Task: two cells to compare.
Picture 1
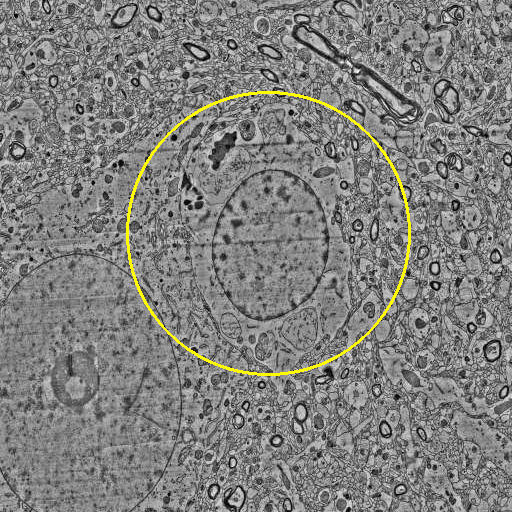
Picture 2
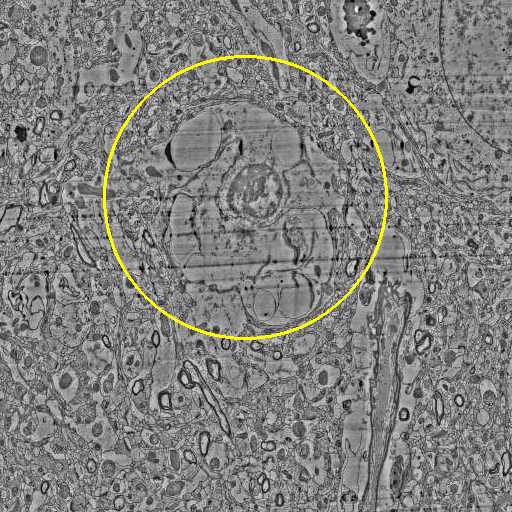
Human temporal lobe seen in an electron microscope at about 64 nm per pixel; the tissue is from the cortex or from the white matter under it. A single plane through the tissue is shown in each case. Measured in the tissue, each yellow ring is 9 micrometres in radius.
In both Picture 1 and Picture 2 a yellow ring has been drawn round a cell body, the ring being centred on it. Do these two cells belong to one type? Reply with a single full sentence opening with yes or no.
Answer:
Yes, the two cells at the ring centres in Picture 1 and Picture 2 share one type.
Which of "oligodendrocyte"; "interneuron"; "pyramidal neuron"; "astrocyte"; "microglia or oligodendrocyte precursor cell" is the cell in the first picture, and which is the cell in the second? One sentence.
Each of the ringed cells, first and second, is an astrocyte.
